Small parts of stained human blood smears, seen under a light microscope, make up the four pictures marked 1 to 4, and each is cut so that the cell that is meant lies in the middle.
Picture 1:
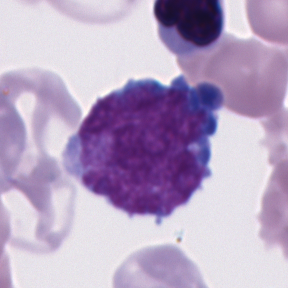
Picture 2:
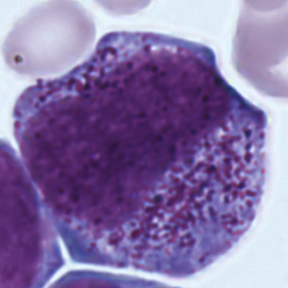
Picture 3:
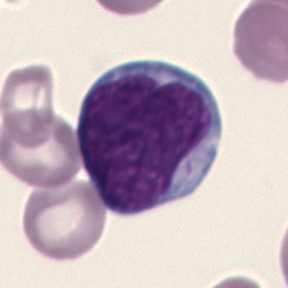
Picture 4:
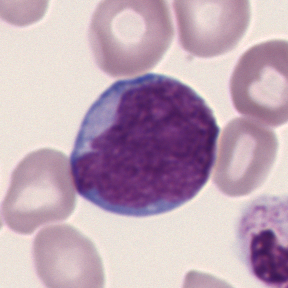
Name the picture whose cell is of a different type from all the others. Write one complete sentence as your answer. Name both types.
All pictures except 2 show myeloblasts; picture 2 shows a promyelocyte.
